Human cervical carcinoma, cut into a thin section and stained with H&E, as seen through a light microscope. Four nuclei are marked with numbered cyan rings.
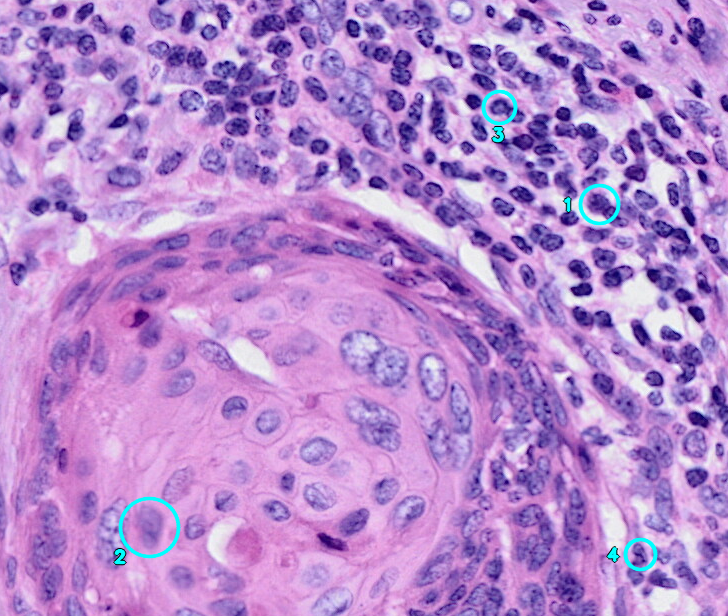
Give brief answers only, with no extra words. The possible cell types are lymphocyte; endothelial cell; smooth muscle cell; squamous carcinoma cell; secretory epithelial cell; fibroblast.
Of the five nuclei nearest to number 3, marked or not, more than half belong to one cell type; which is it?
lymphocyte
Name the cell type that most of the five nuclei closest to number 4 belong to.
lymphocyte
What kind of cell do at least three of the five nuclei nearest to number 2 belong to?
squamous carcinoma cell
